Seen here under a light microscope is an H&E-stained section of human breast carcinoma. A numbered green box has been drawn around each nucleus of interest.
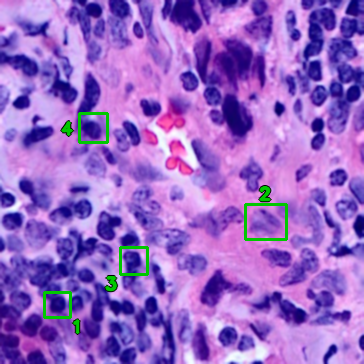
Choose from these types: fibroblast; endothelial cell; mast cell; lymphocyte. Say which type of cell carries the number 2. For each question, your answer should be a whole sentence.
The cell marked with the number 2 is an endothelial cell.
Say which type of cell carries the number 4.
Cell 4, among those numbered, is a lymphocyte.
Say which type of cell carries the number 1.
The correct answer for cell 1 is a lymphocyte.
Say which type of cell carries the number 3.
Corresponding to a lymphocyte is the cell labelled 3.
